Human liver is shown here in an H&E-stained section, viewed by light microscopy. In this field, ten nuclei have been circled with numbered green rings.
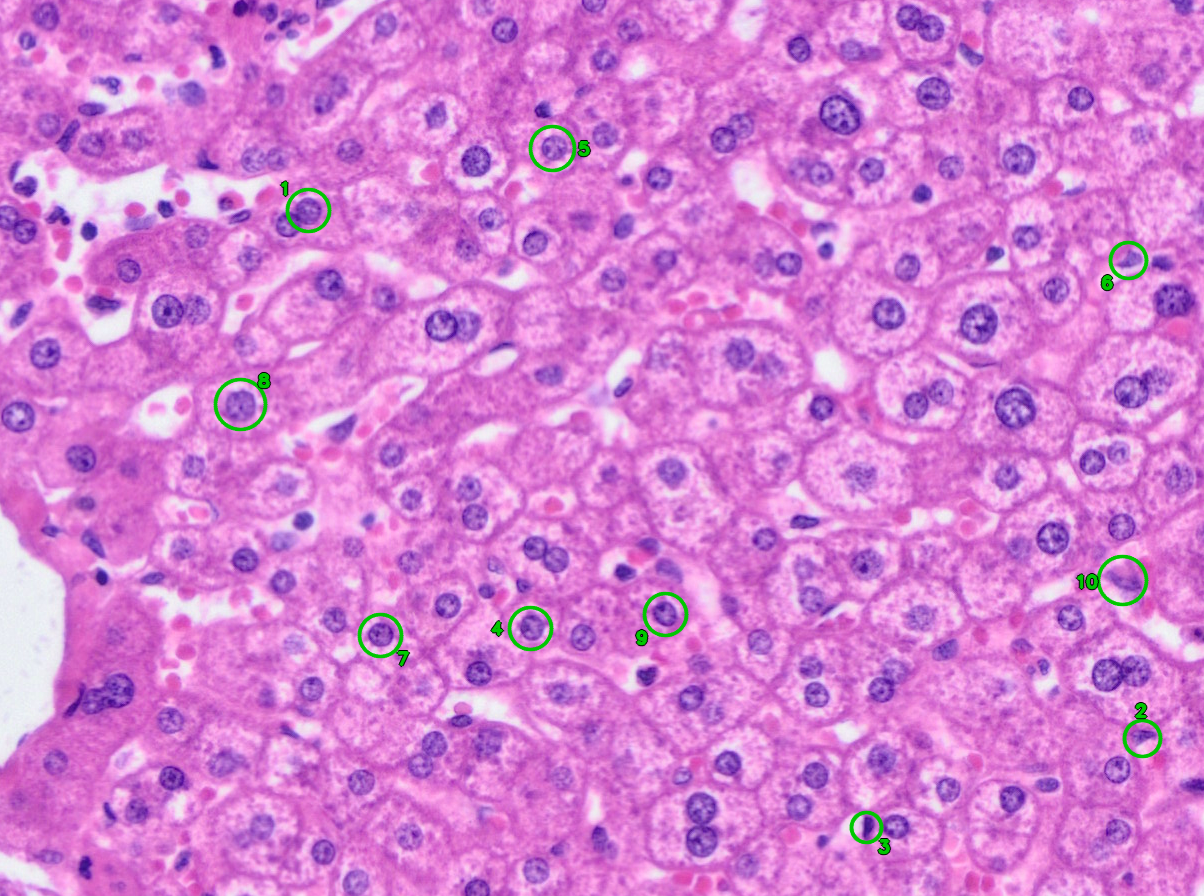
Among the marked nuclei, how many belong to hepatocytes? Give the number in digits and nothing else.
6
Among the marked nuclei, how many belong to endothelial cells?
3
